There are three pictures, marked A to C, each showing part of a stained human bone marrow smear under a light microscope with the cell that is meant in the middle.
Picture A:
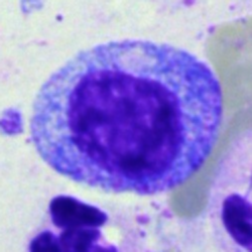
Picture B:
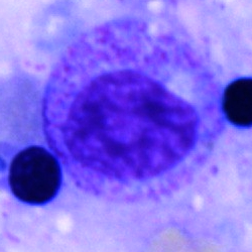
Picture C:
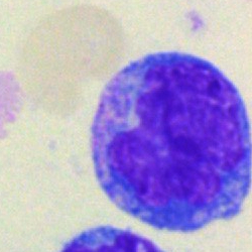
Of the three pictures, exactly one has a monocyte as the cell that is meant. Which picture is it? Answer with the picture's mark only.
C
